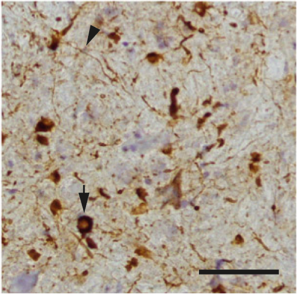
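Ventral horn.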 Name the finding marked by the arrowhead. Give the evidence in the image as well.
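Neuritic staining. The arrowhead points to thin, thread-like brown processes. Many fine brown fibres run through the field between the cell bodies.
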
